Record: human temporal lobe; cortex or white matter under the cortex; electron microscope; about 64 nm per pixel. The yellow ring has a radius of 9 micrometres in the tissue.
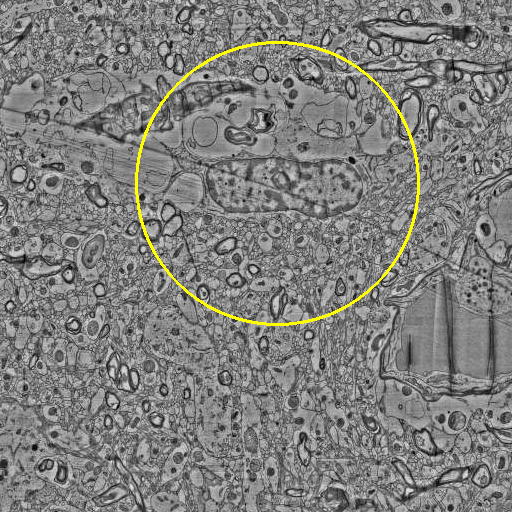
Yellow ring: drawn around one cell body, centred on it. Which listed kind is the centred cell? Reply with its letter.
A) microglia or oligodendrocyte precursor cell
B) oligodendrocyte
A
